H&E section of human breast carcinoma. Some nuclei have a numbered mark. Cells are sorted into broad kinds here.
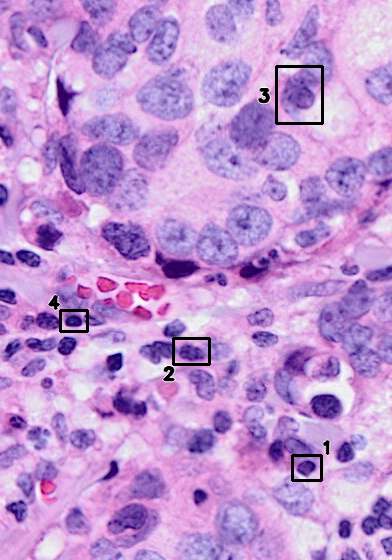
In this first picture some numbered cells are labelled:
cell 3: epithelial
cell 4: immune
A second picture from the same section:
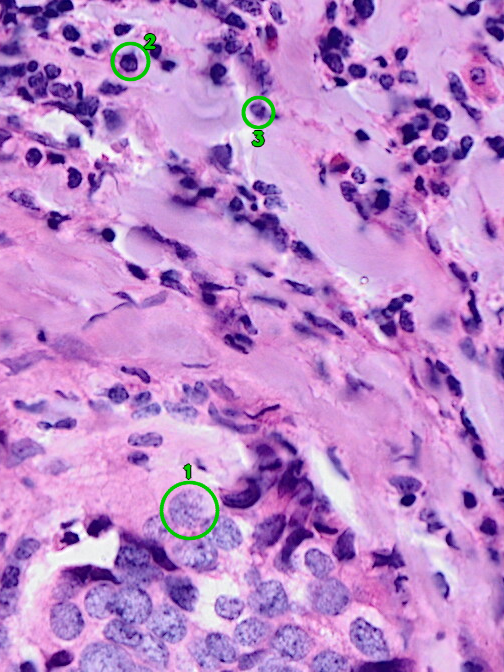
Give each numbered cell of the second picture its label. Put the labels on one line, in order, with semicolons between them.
epithelial; immune; immune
